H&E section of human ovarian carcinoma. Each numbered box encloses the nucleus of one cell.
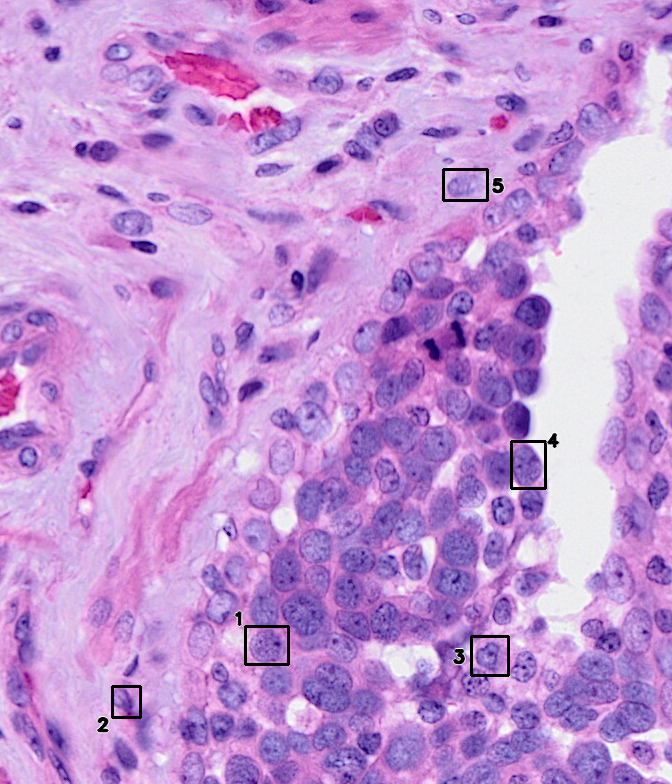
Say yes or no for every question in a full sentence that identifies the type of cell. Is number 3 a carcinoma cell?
No, the cell labelled number 3 is not a carcinoma cell; it is a macrophage or monocyte.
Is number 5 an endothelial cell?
No, cell 5 represents a fibroblast rather than an endothelial cell.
